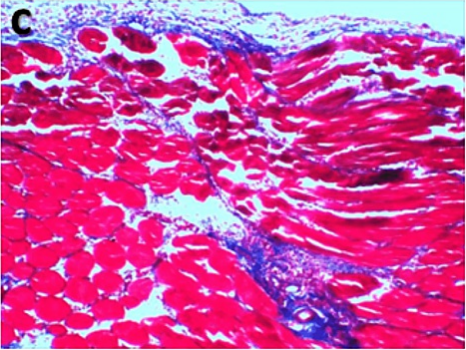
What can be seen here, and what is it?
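This is muscle tissue with red-stained muscle fibers, some cut lengthwise as long bands and others cut across as rounded polygonal profiles in the lower left. A band of loose tissue with blue strands lies along the upper edge of the section. Fine blue strands extend from it down between the bundles of muscle fibers, widening into a looser blue-stained zone near the bottom.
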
